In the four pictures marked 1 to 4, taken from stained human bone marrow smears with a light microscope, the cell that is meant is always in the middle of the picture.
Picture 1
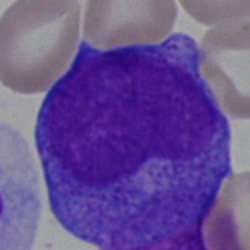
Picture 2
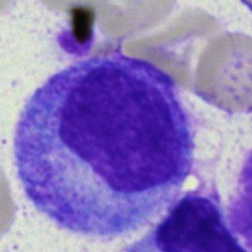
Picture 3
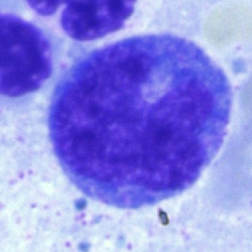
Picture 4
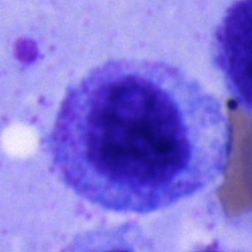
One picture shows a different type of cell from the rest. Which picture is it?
2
